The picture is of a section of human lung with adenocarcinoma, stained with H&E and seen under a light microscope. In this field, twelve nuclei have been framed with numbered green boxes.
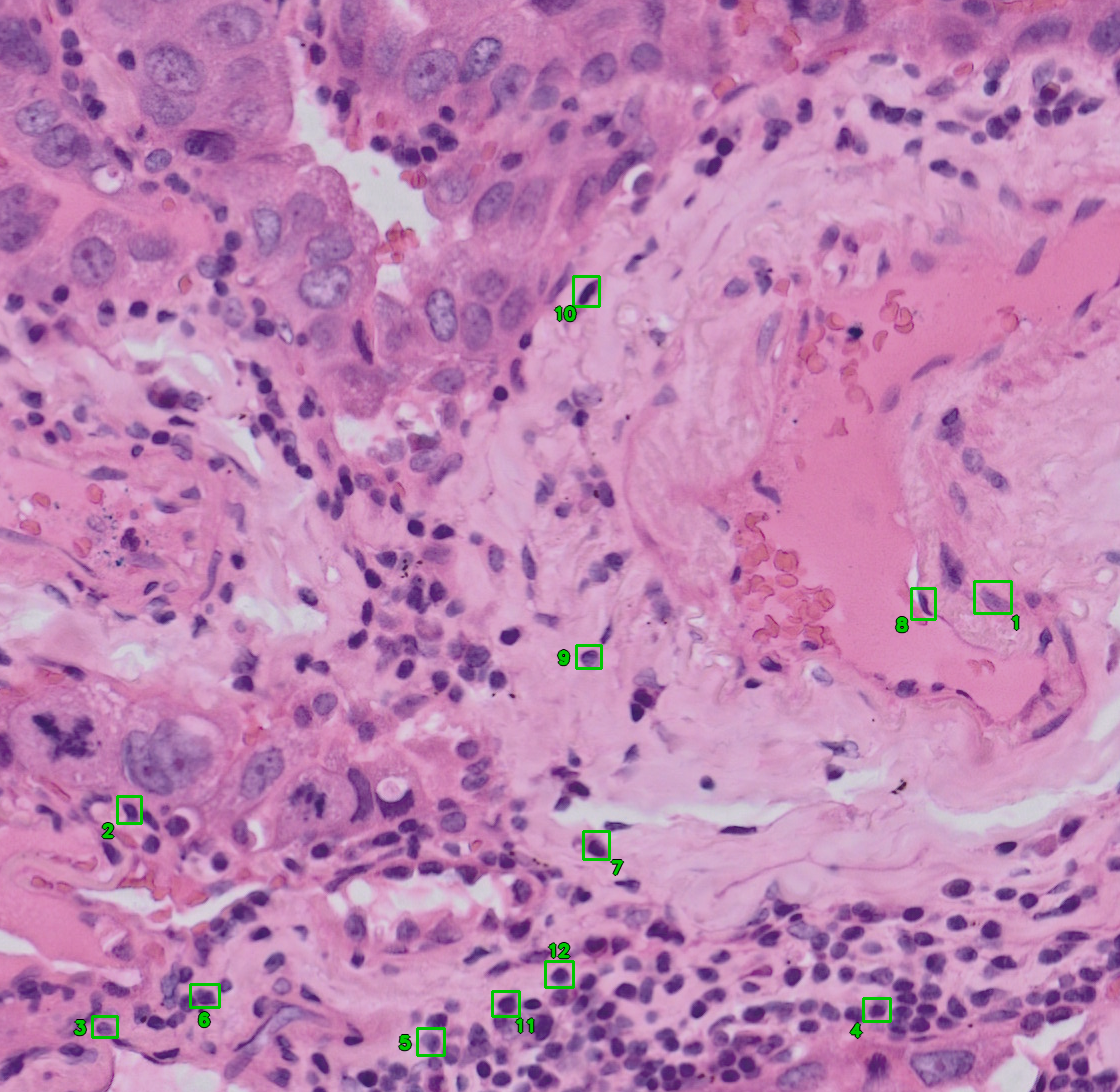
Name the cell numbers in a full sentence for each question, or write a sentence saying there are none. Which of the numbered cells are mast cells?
Of the numbered nuclei, only the one labelled 9 belongs to a mast cell.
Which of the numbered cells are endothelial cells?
Of the cells bearing numbers, the only one that is an endothelial cell is cell 8.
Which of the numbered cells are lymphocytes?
The cells labelled 2, 3, 4, 5, 6, 11 and 12 in this section are lymphocytes.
